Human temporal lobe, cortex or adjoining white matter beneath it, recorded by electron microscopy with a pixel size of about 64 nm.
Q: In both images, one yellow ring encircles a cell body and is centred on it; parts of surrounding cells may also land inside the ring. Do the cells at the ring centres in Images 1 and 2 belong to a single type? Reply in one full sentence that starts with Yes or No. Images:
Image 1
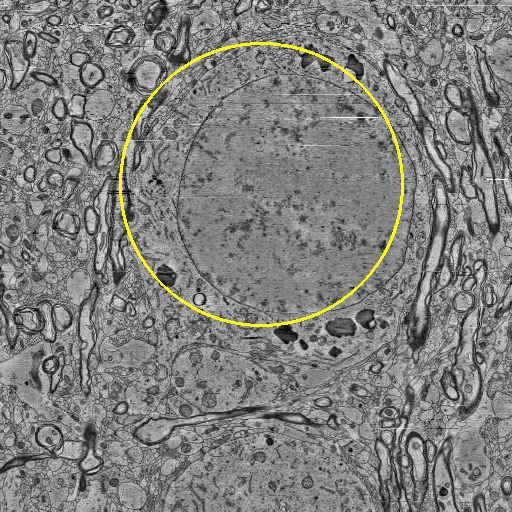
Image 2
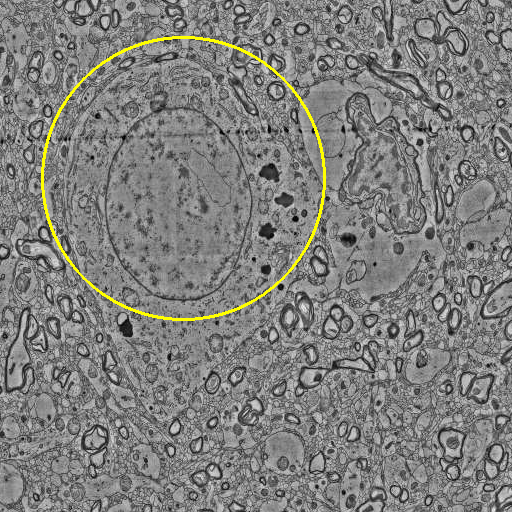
Yes, the cells at the ring centres in Images 1 and 2 are of a single type.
